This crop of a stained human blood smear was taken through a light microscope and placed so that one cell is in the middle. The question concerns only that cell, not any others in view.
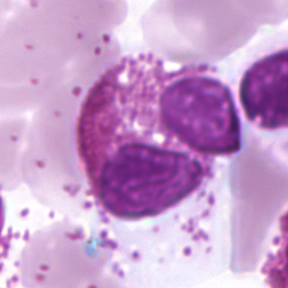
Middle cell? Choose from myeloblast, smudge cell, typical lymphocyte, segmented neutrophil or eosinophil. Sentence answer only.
Framed in the middle of the crop is an eosinophil.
